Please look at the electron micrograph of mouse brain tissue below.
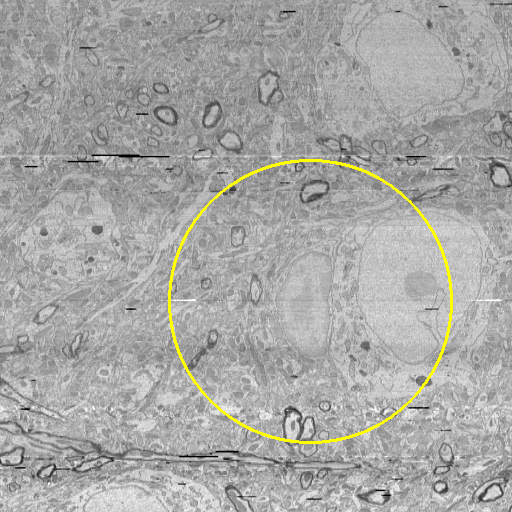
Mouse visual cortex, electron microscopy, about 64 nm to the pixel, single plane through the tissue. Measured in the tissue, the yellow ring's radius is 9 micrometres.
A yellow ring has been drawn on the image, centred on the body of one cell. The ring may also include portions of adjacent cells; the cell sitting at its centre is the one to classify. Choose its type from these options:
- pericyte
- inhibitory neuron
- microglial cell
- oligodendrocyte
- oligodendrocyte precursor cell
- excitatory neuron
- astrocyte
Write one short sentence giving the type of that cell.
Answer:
The cell in the middle of the ring is a microglial cell.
